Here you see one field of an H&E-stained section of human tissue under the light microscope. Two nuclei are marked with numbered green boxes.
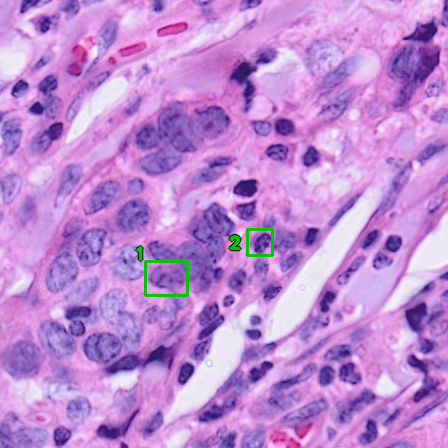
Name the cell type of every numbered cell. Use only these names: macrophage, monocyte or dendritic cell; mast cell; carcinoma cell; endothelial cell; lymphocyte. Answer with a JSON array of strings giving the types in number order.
["carcinoma cell", "lymphocyte"]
